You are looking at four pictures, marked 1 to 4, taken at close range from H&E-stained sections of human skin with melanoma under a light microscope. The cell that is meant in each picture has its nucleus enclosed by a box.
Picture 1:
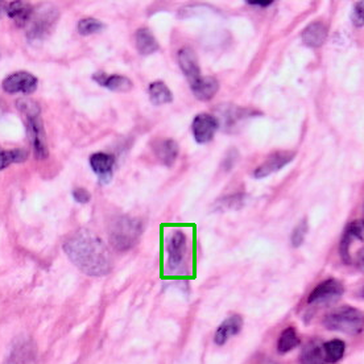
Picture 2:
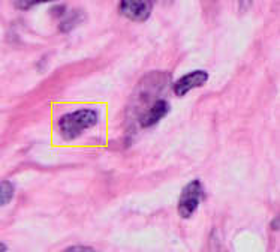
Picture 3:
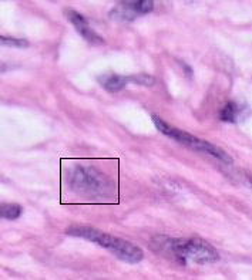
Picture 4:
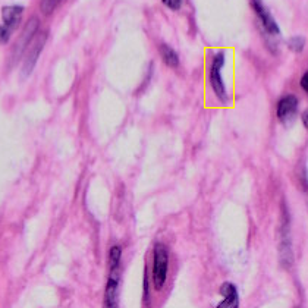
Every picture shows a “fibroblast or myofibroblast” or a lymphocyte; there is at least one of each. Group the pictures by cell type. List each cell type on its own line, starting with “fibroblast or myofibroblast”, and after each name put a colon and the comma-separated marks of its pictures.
fibroblast or myofibroblast: 1, 3, 4
lymphocyte: 2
